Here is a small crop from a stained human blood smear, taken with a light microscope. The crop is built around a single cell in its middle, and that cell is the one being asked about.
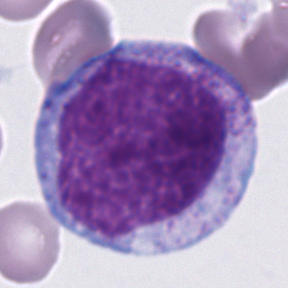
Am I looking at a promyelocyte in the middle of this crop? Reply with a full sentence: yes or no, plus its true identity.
Yes, the cell right in the middle is a promyelocyte.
